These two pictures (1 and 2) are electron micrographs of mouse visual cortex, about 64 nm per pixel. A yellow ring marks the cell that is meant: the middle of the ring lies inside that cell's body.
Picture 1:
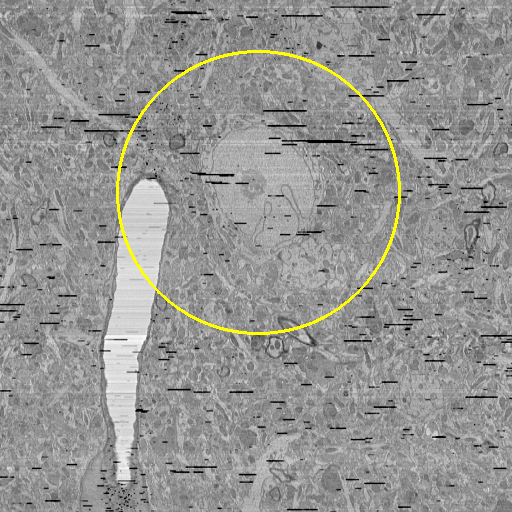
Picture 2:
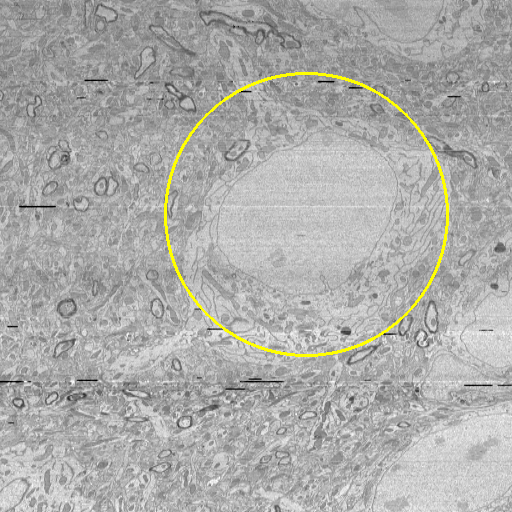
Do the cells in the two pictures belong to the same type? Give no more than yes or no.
no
